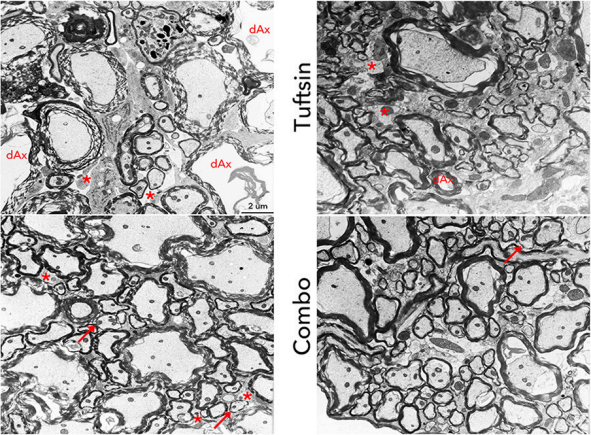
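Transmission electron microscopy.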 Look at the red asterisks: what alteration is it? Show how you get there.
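The asterisks lie beside axon profiles that lack a dark compact ring around them.
Conclusion: Demyelinated axons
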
